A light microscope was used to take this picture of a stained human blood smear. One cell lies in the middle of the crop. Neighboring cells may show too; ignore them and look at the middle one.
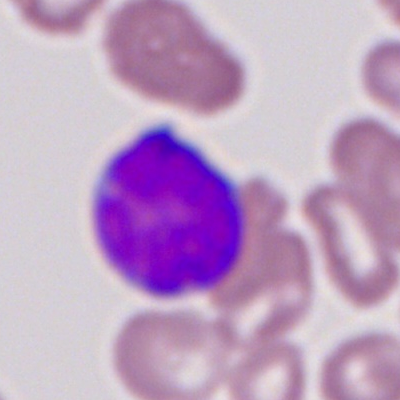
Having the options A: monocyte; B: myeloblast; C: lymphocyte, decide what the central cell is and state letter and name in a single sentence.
The one cell at the centre is a myeloblast, as correctly stated in option B.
